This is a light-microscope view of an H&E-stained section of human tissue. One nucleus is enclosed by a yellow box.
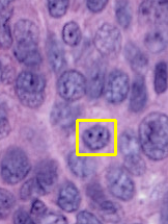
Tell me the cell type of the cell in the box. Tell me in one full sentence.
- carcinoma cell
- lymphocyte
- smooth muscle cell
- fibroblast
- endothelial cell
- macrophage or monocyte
In this tissue sample, the cell in the box is a macrophage or monocyte.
